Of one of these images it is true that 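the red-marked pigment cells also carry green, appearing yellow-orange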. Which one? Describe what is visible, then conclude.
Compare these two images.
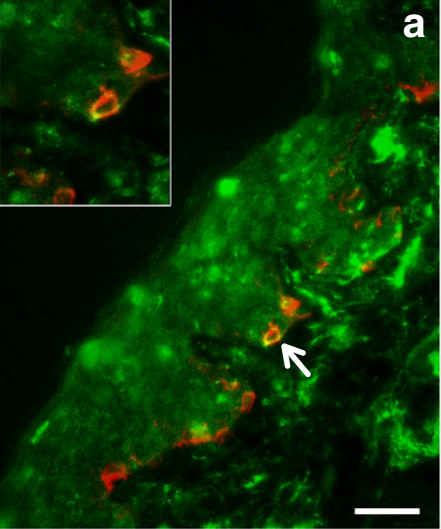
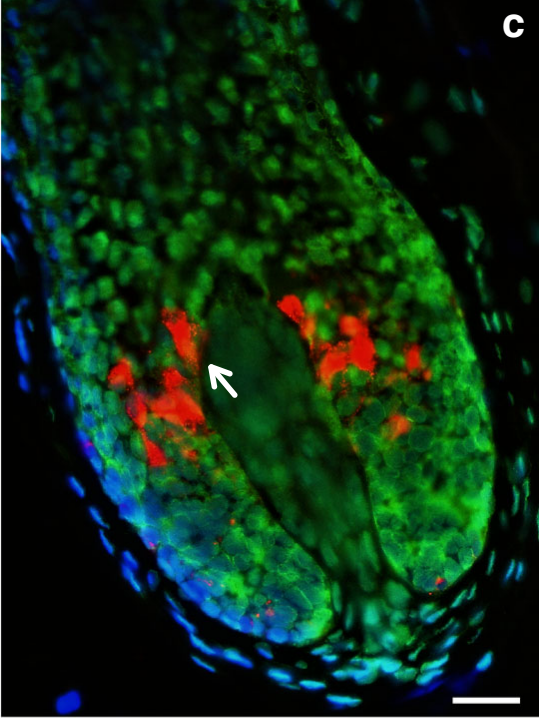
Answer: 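Second image: the red cells in the bulb are pure red without yellow-orange. First image: the arrowed red cell shows a yellow-orange ring.
Hence: the first image.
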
